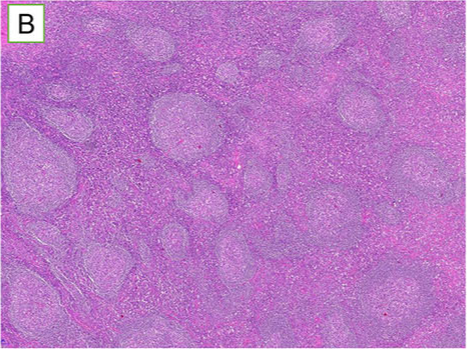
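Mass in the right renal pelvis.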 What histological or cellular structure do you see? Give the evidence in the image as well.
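Many round, paler nodules are scattered through the tissue. The nodules are set in a denser, darker sheet of small cells.
Answer: lymphatic follicles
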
